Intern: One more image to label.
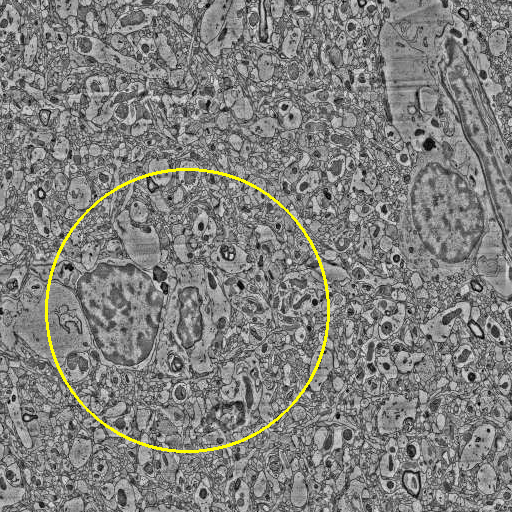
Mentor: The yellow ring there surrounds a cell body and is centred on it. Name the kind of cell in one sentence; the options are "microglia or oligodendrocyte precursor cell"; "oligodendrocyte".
The ring marks the cell body of a microglial cell or oligodendrocyte precursor cell.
